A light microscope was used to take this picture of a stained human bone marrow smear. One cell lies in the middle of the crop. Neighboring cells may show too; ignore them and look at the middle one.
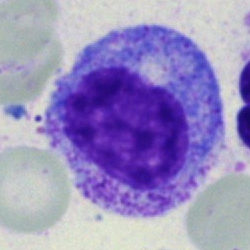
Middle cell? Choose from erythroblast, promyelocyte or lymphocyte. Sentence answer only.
The middle of this crop holds a promyelocyte.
